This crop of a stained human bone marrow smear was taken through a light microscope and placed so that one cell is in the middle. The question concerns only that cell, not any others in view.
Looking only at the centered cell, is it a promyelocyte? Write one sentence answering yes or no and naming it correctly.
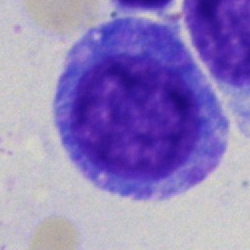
Yes, the cell at the midpoint of the crop is a promyelocyte.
